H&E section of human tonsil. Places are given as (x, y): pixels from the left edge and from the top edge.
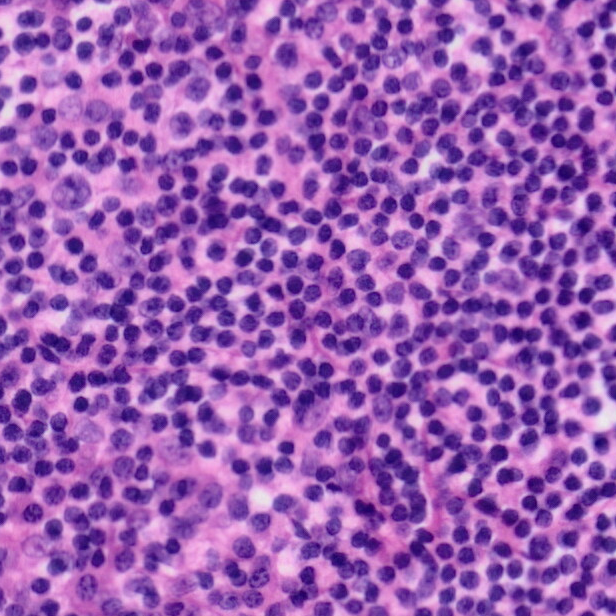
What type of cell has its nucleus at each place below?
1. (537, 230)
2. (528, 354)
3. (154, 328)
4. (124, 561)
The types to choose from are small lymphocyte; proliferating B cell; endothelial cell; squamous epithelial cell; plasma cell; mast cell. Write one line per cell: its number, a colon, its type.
1: small lymphocyte
2: small lymphocyte
3: small lymphocyte
4: plasma cell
